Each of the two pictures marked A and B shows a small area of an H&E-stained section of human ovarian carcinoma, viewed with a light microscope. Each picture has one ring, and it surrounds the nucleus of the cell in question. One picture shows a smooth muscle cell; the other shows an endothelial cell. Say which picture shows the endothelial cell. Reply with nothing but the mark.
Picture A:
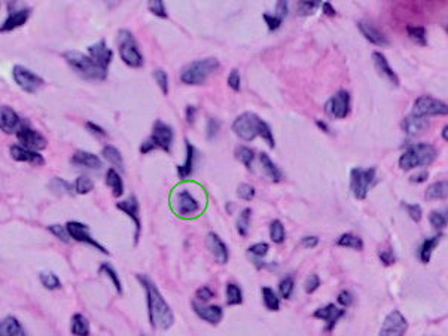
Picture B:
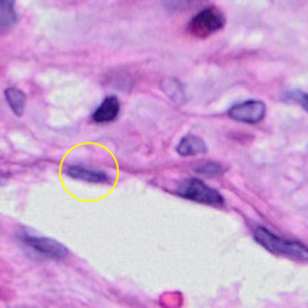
B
